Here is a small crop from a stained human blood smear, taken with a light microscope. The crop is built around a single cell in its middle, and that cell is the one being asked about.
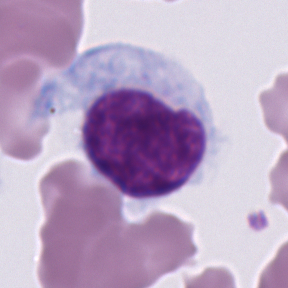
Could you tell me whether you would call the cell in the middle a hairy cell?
yes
